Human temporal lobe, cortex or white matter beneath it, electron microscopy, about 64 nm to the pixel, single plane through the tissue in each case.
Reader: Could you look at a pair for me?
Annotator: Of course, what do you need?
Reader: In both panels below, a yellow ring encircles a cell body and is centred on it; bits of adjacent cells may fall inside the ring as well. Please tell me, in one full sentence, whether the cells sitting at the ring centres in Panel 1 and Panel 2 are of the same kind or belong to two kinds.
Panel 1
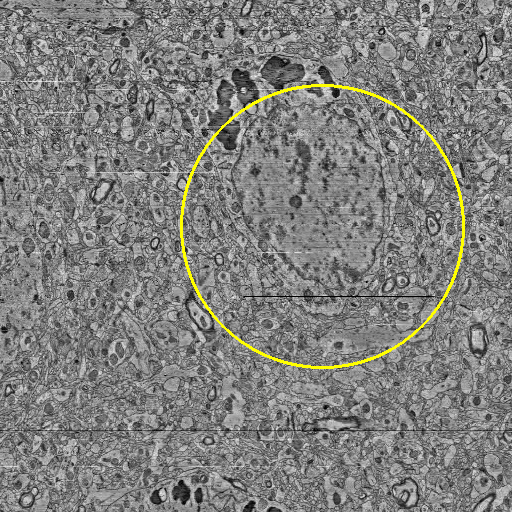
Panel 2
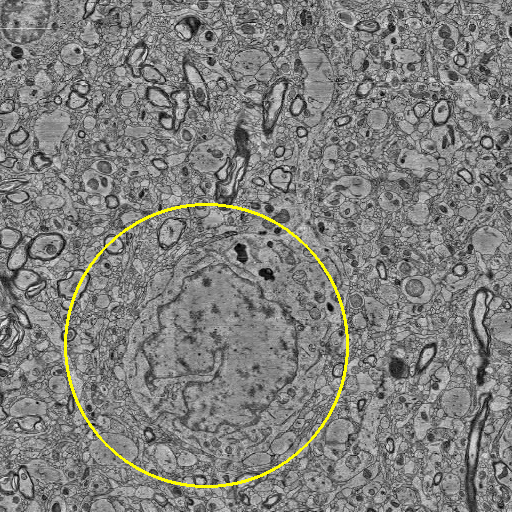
The cell at the ring's centre in Panel 1 and the one in Panel 2 are of the same kind.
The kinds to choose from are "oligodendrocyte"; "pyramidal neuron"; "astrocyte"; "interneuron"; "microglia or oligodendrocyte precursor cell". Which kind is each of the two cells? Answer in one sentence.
In the first picture and in the second, the ring is centred on an interneuron.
